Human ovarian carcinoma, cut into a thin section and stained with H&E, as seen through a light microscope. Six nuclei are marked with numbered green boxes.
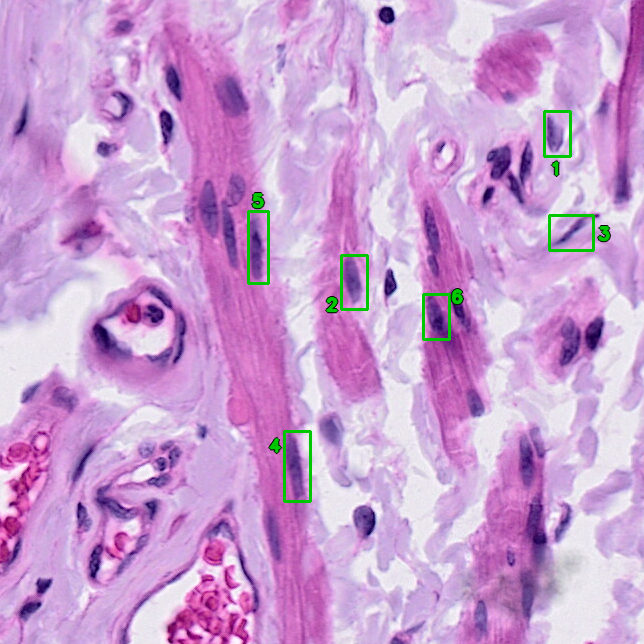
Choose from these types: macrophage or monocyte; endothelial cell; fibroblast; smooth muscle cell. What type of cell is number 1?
fibroblast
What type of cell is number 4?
smooth muscle cell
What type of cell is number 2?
smooth muscle cell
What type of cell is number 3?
fibroblast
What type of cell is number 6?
smooth muscle cell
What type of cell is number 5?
smooth muscle cell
